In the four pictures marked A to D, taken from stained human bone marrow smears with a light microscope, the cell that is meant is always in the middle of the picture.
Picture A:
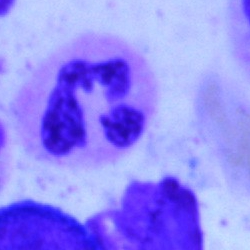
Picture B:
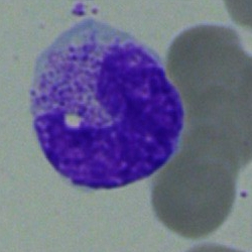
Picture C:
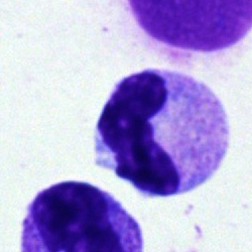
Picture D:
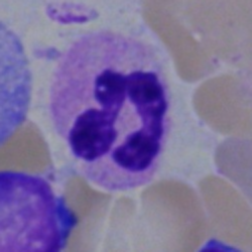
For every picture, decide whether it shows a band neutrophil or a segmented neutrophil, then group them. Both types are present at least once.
A: segmented neutrophil
B: band neutrophil
C: band neutrophil
D: segmented neutrophil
